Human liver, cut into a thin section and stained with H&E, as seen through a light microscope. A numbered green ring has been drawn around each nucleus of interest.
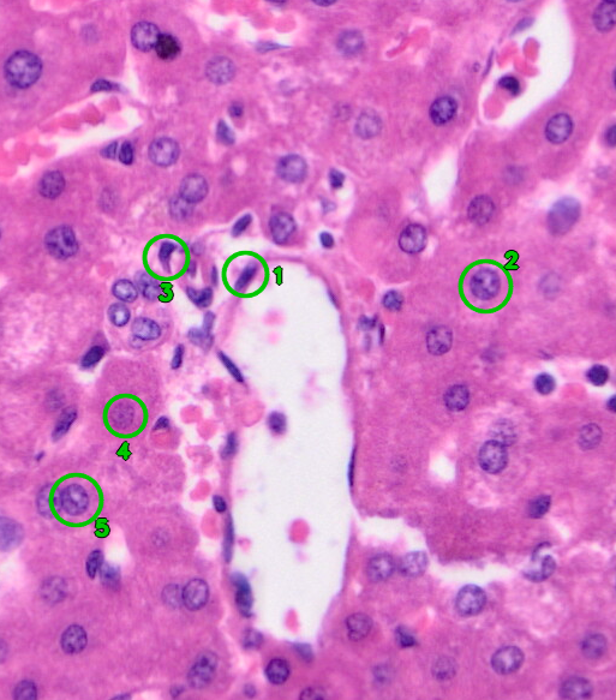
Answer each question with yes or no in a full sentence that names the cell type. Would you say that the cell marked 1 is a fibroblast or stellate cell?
Yes, the cell sitting at number 1 is a fibroblast or stellate cell.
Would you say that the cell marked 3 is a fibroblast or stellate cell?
Yes, it checks out; the cell labelled 3 is a fibroblast or stellate cell.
